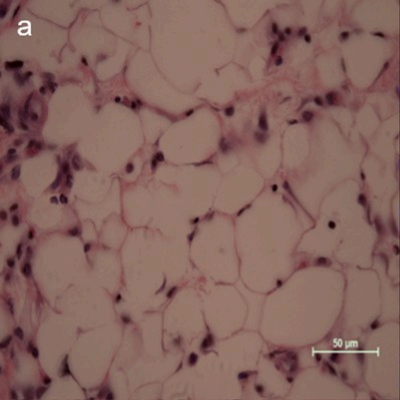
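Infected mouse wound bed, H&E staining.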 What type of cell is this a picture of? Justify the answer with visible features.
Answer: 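Large round to polygonal cells with empty, unstained interiors. Thin pink rims outline each cell. Small dark nuclei are flattened at the cell edges.
Conclusion: adipocytes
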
